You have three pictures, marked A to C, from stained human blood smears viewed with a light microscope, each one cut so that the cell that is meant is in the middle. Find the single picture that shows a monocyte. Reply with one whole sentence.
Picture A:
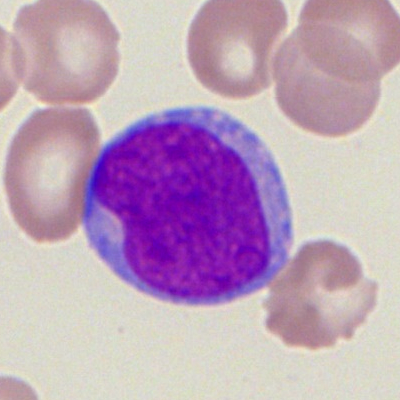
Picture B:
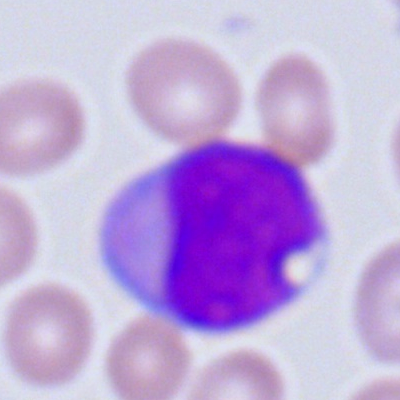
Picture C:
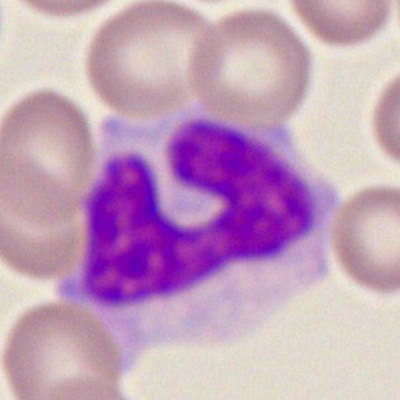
Picture C shows the monocyte.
